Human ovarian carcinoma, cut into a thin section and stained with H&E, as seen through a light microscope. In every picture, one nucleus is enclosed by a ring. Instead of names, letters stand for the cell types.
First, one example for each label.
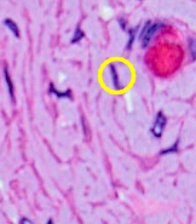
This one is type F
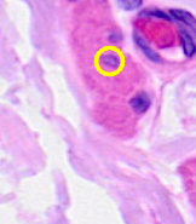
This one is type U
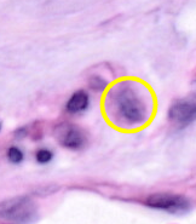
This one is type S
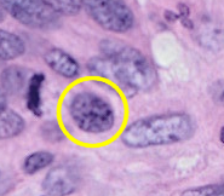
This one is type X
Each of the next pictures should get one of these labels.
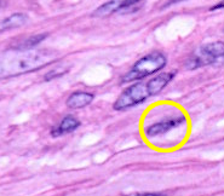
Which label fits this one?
type F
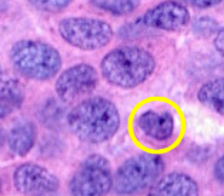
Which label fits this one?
type X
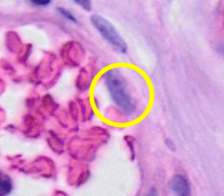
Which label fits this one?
type S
